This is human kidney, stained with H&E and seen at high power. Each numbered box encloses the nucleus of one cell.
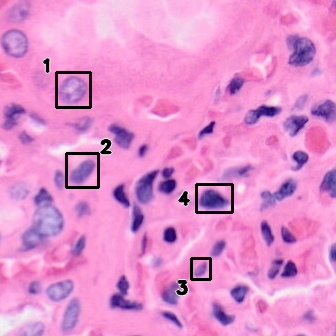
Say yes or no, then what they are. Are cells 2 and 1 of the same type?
No, cell 2 is a collecting duct cell and cell 1 is a proximal tubule cell.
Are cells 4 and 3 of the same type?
Yes, both are endothelial cells.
